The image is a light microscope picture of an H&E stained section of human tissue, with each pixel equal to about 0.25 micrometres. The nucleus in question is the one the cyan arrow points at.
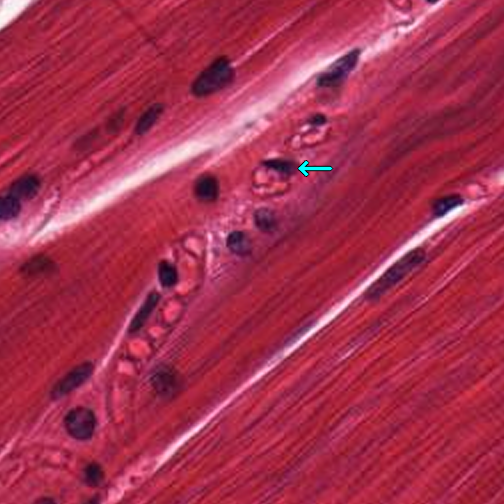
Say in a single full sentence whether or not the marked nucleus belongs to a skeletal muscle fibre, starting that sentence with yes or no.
No, the marked nucleus, which belongs to a supporting cell, is not part of a skeletal muscle fibre.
